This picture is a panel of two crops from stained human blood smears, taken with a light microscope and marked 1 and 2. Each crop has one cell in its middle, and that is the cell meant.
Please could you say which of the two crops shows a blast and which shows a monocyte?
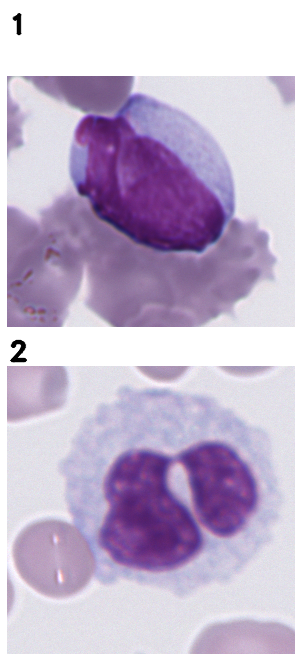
1: blast
2: monocyte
